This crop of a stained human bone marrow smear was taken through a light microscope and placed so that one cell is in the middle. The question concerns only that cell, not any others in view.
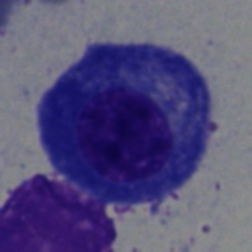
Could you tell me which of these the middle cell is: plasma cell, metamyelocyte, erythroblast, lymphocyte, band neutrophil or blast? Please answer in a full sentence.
The cell the crop is centered on is a plasma cell.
